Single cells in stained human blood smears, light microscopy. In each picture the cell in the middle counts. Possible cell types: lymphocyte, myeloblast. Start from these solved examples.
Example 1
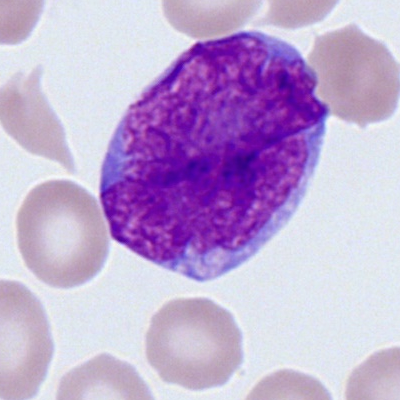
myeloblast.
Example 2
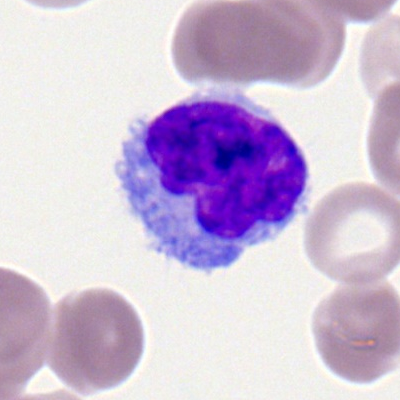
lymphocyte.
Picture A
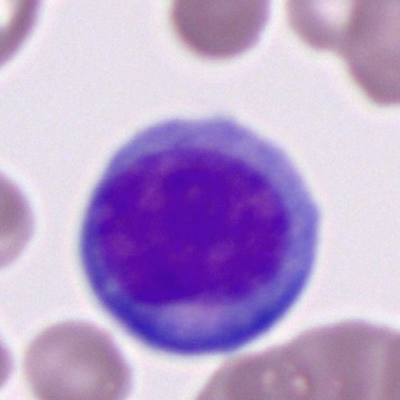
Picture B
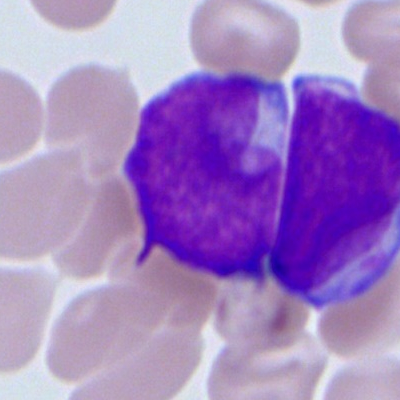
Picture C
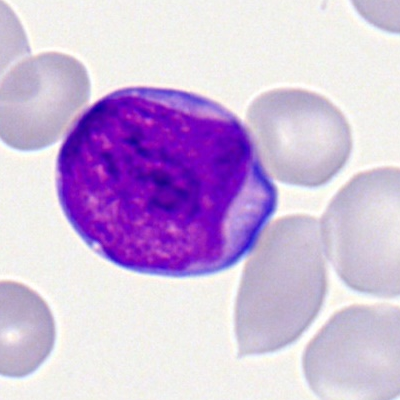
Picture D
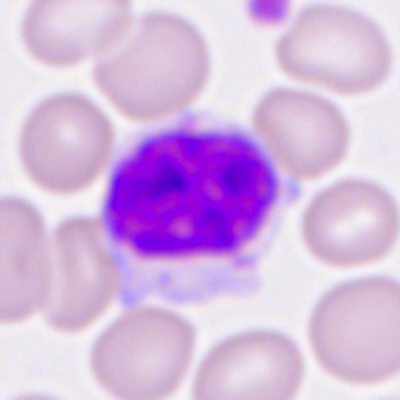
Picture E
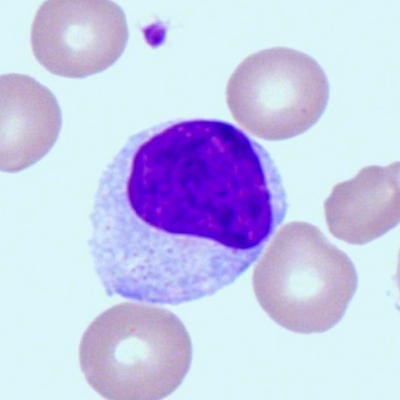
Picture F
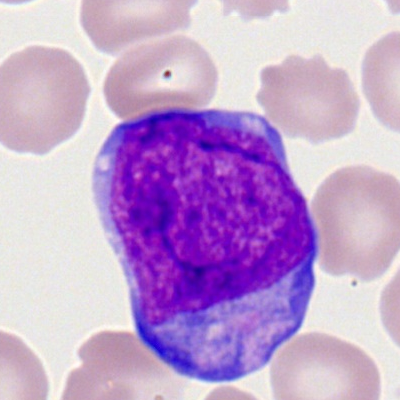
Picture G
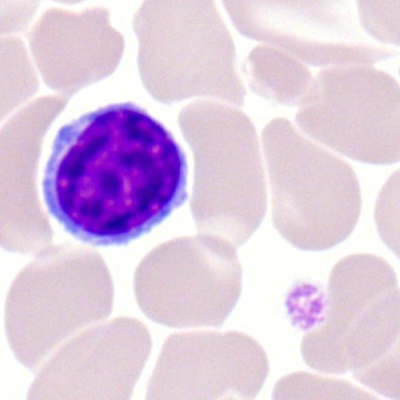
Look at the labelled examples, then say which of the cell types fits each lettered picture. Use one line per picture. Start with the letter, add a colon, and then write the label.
A: myeloblast.
B: myeloblast.
C: myeloblast.
D: lymphocyte.
E: lymphocyte.
F: myeloblast.
G: lymphocyte.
